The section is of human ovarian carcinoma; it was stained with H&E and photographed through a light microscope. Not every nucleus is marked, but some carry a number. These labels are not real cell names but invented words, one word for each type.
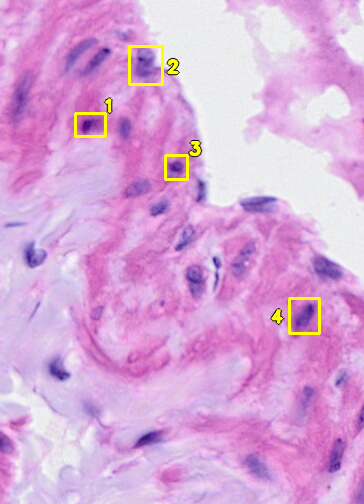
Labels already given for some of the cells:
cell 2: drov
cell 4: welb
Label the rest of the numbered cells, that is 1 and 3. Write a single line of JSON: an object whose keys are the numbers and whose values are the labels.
{"1": "welb", "3": "welb"}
